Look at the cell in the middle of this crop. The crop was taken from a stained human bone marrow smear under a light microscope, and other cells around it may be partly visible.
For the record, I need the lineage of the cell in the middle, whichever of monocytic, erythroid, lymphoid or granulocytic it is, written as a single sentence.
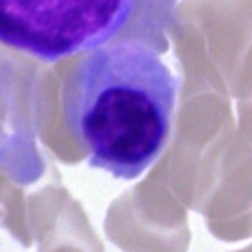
The cell located at the center of the crop is erythroid by lineage.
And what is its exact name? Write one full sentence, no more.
Classified as an erythroblast is the cell in the middle of this crop.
